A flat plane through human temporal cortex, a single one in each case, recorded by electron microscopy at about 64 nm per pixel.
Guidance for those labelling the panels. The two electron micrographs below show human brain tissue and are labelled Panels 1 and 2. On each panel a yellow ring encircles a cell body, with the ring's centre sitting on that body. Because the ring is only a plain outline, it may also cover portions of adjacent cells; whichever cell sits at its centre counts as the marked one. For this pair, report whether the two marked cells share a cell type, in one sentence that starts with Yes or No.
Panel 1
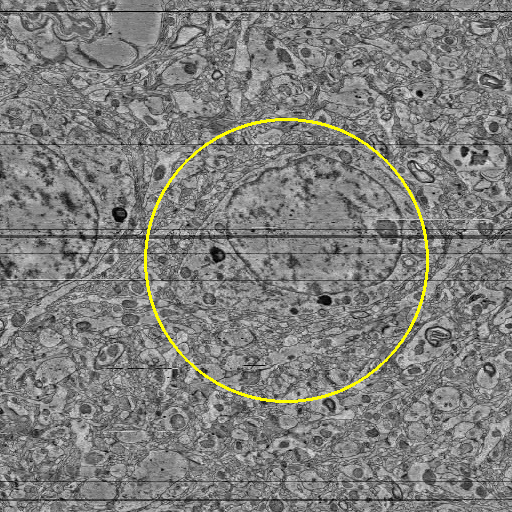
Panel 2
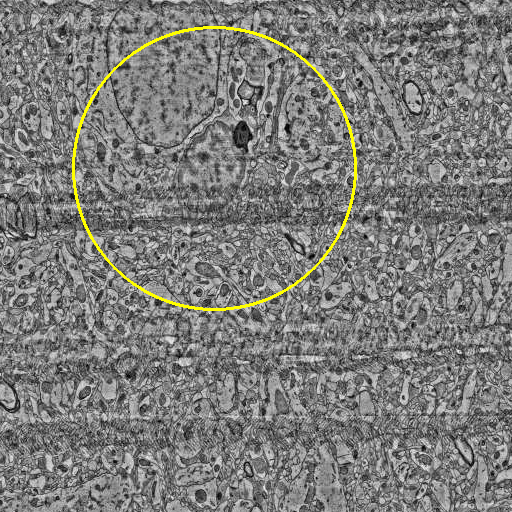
No, in Panel 1 and Panel 2 the marked cells at the ring centres are of two types.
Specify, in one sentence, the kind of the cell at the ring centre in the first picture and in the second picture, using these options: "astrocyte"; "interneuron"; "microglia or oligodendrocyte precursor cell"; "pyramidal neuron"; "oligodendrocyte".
So the first is a pyramidal neuron, the second an oligodendrocyte.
